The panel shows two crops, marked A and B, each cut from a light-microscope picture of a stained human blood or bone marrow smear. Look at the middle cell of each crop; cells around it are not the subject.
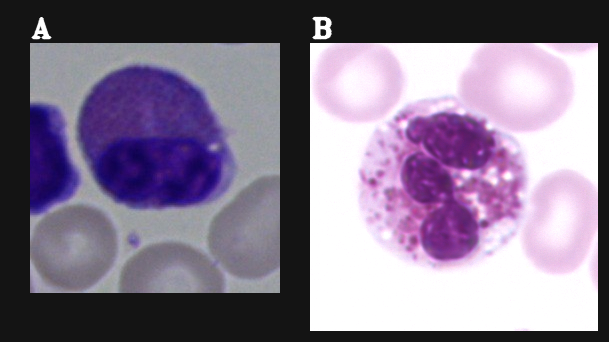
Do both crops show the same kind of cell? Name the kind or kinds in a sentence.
Yes, in the middle of both crops, eosinophils are shown.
